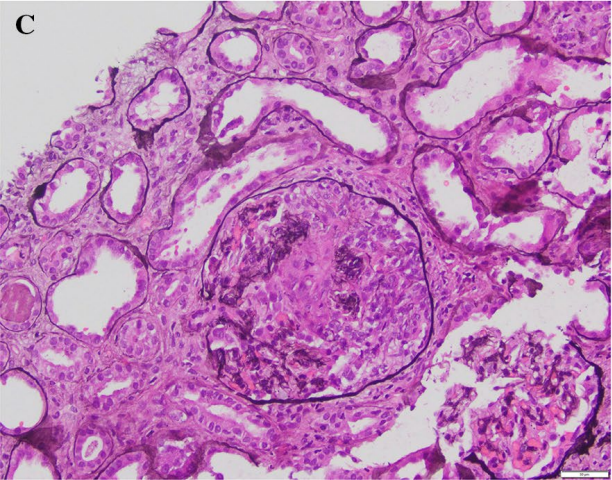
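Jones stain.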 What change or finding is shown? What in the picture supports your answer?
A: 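The central glomerulus has its tuft compressed by cells and pink matrix filling Bowman's space. The black capsule line encloses a crowded, pale pink area with few open capillary loops.
Answer: crescentic changes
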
